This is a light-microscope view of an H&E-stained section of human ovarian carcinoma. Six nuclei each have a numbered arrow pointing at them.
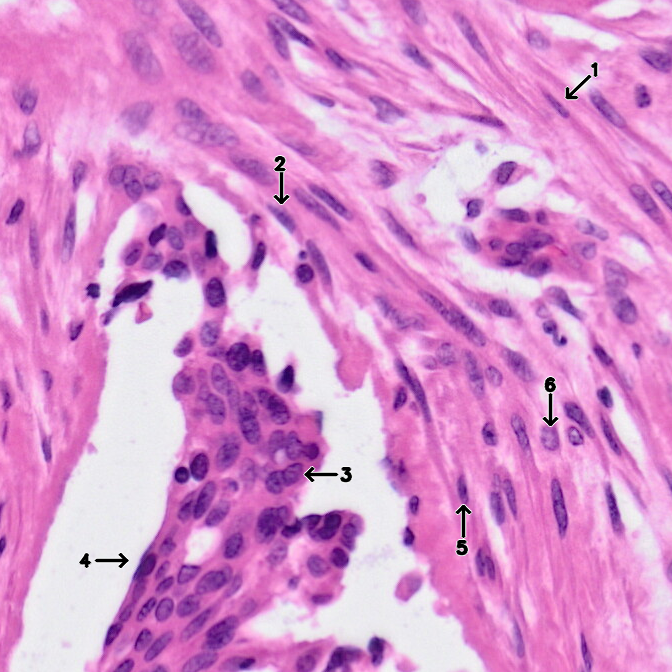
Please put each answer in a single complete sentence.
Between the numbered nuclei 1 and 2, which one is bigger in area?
Of the two, number 2 is bigger and takes up about 2 times the area of number 1.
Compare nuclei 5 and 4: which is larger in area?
It is nucleus 4, which covers about 2.5 times the area of nucleus 5.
